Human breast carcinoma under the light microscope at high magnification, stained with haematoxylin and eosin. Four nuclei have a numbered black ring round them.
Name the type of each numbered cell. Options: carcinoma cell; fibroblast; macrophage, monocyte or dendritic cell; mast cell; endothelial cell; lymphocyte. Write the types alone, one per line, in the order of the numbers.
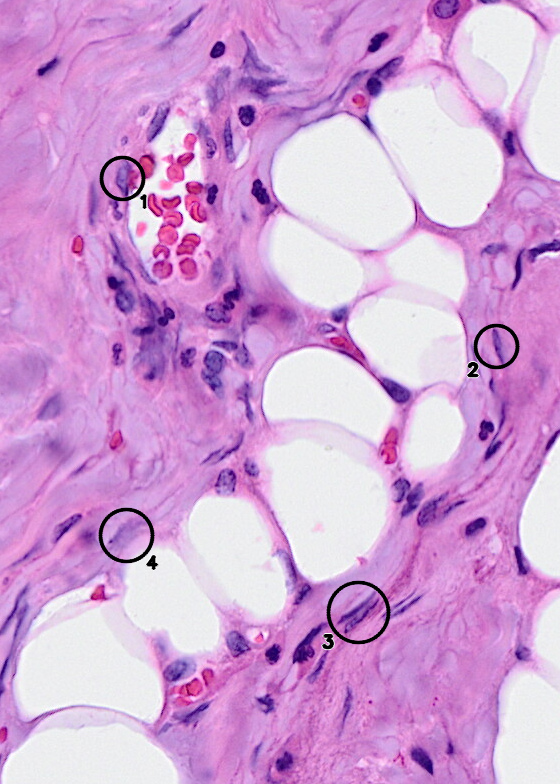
endothelial cell
fibroblast
fibroblast
fibroblast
